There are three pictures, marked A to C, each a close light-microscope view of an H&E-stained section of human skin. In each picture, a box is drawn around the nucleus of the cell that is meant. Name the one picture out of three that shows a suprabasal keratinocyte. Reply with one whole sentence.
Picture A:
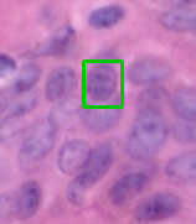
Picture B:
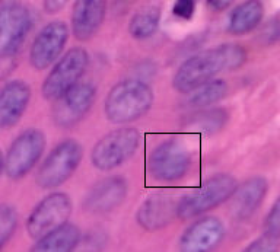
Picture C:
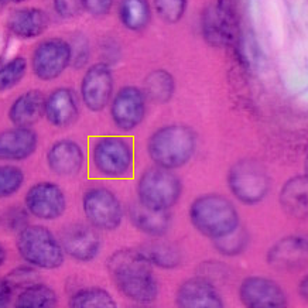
The cell in picture C is the suprabasal keratinocyte.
